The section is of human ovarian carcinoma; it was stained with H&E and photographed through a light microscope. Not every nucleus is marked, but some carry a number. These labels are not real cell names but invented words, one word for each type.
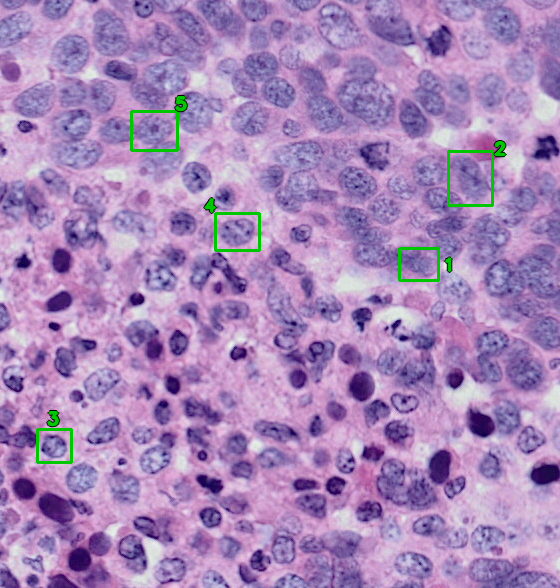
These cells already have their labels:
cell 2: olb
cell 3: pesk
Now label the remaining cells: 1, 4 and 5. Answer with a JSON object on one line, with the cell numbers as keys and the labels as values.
{"1": "olb", "4": "pesk", "5": "olb"}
